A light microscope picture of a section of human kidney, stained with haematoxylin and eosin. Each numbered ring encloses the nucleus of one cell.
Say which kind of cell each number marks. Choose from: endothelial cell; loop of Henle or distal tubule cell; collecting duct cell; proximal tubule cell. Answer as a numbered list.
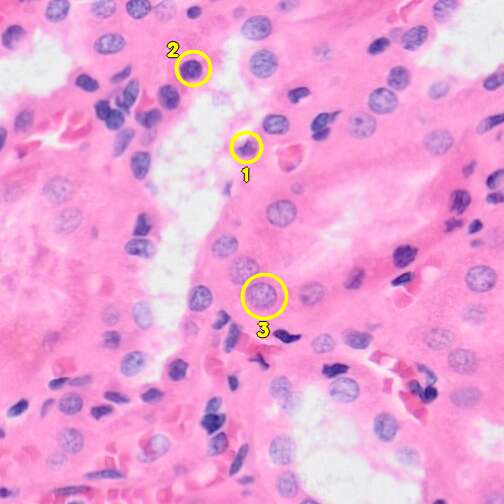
1. loop of Henle or distal tubule cell
2. loop of Henle or distal tubule cell
3. proximal tubule cell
